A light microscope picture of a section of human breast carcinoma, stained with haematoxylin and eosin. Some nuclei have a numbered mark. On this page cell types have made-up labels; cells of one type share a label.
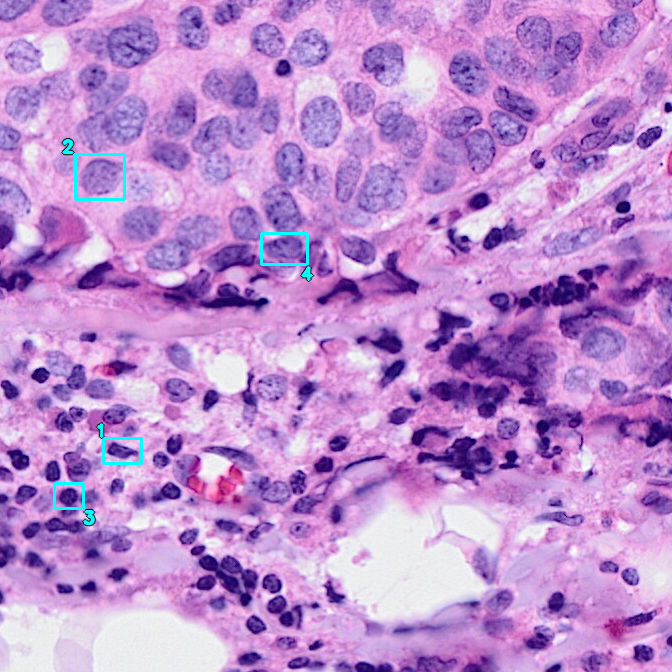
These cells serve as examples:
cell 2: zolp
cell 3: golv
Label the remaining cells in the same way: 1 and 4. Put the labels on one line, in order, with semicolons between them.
golv; zolp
